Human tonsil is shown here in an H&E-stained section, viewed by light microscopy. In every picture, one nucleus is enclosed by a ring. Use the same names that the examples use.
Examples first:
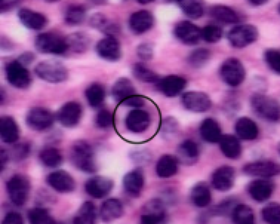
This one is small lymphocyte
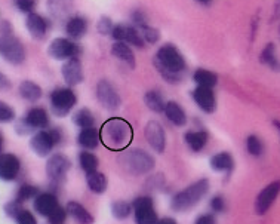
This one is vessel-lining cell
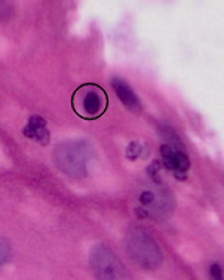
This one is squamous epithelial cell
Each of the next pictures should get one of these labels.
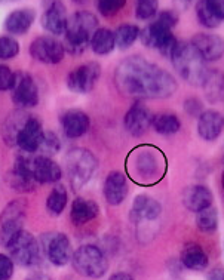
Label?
vessel-lining cell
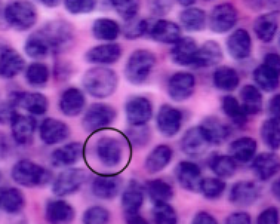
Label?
small lymphocyte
